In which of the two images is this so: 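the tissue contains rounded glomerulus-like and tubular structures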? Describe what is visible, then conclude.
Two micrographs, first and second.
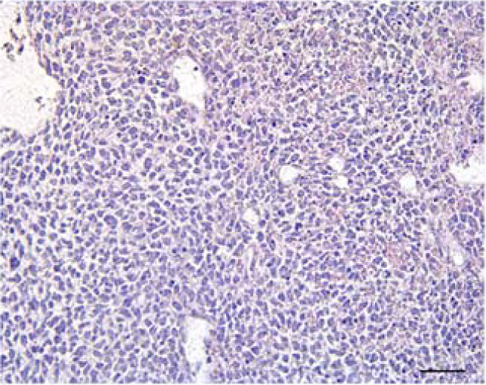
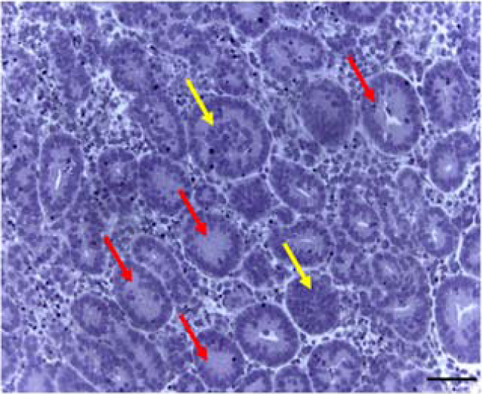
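First image: a uniform sheet of packed cells with no tubules or rounded bodies. Second image: many ring-shaped tubular profiles with lumens and denser rounded bodies. The answer: the second image.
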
